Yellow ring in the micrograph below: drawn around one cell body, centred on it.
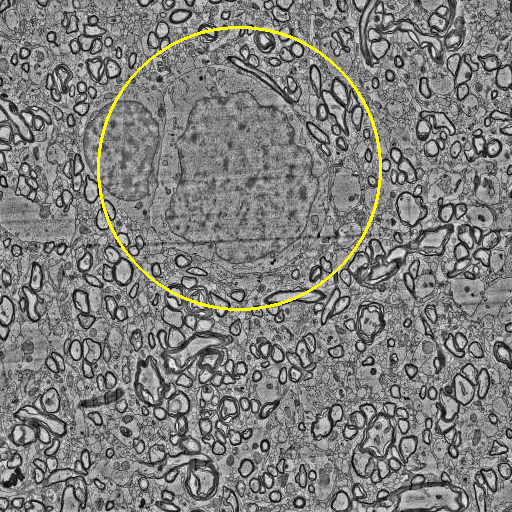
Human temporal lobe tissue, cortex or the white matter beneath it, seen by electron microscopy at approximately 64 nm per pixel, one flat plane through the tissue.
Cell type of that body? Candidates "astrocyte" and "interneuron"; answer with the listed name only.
interneuron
